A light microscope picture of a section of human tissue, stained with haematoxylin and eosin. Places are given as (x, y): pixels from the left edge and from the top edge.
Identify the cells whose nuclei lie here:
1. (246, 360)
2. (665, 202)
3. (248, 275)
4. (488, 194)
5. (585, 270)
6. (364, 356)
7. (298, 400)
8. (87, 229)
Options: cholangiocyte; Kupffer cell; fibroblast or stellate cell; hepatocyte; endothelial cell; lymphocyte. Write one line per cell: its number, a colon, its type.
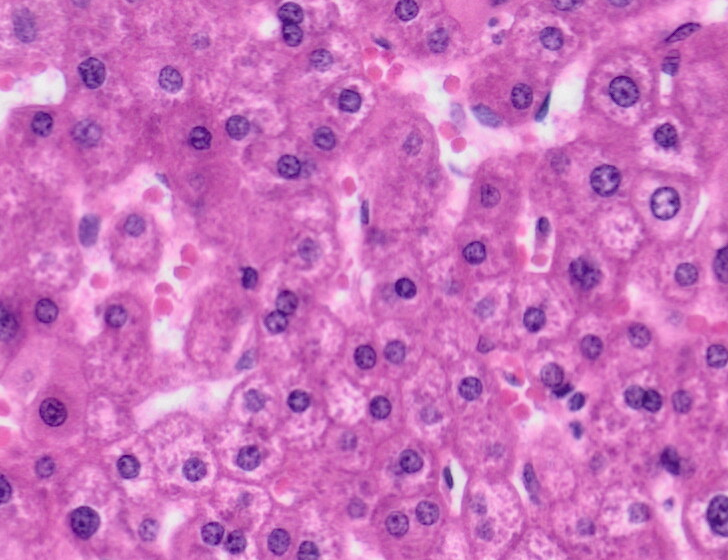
1: Kupffer cell
2: hepatocyte
3: fibroblast or stellate cell
4: hepatocyte
5: hepatocyte
6: hepatocyte
7: hepatocyte
8: endothelial cell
